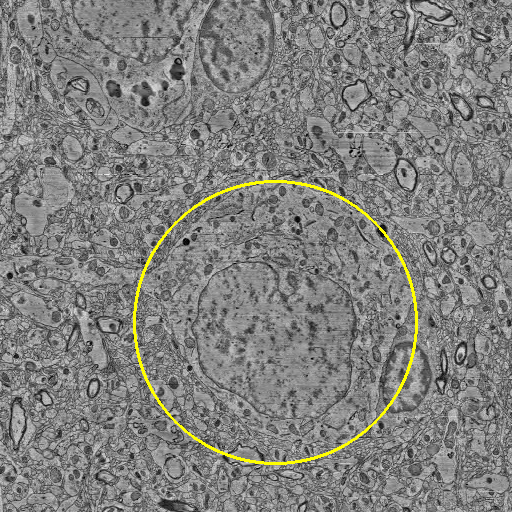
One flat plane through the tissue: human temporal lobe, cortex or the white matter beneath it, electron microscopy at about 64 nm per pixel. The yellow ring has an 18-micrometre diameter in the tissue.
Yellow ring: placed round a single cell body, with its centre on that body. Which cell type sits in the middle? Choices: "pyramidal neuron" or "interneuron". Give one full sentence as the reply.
It is an interneuron whose cell body sits at the centre of the yellow ring.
